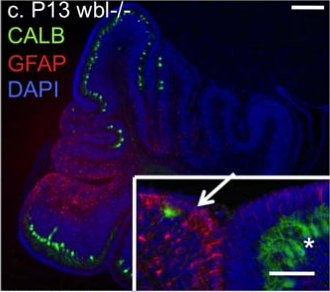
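Midline sagittal section of the cerebellum in which the green Purkinje cells are largely lost: only scattered green cell bodies remain along a few folia, mostly at the lower left, while many folia lack them altogether. The blue layer of small nuclei still outlines each folium.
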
